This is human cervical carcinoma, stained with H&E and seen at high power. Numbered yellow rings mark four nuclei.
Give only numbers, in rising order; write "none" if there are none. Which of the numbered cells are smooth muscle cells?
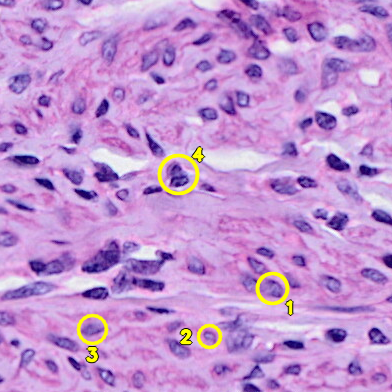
1, 2, 3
